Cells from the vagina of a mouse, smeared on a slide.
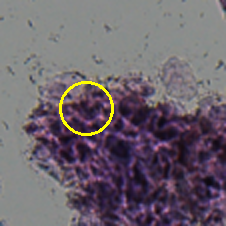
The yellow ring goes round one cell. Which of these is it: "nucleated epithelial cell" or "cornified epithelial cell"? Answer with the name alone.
cornified epithelial cell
